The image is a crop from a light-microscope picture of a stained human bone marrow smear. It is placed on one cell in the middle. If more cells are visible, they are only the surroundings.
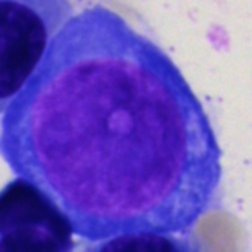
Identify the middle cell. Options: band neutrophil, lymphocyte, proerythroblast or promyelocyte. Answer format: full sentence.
Here the centrally located cell is a proerythroblast.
